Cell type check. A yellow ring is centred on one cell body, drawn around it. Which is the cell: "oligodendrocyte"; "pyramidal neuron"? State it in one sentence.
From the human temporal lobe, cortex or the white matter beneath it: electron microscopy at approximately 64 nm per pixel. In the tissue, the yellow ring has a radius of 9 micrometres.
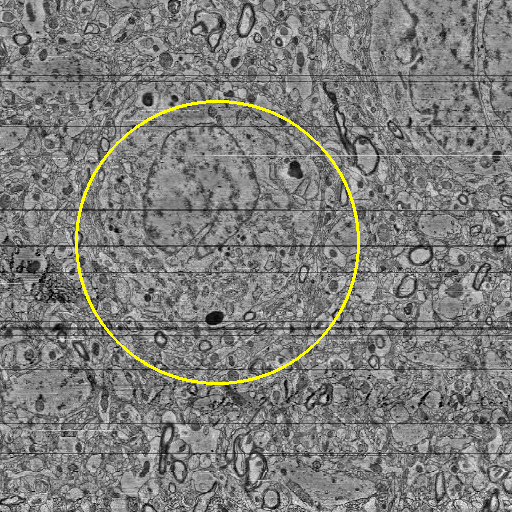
The cell body at the ring's centre belongs to a pyramidal neuron.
